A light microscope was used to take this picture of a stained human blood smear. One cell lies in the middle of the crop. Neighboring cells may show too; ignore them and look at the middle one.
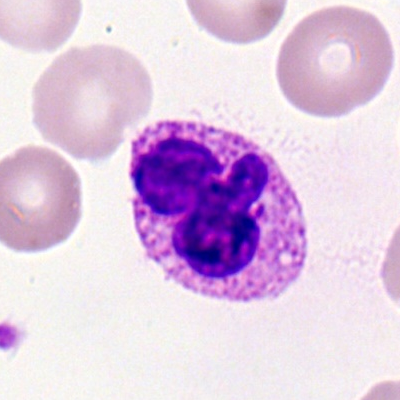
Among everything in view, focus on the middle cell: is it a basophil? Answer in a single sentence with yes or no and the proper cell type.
Yes, the cell occupying the center is a basophil.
